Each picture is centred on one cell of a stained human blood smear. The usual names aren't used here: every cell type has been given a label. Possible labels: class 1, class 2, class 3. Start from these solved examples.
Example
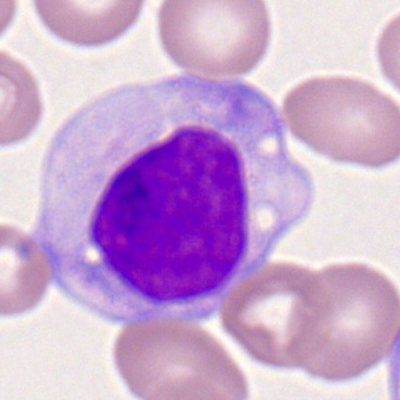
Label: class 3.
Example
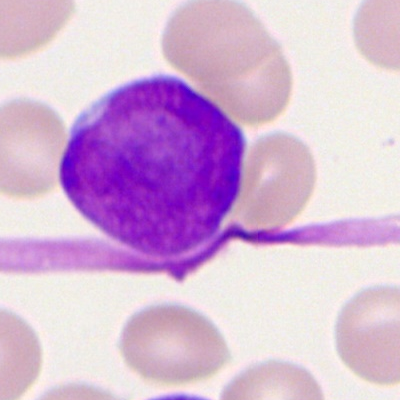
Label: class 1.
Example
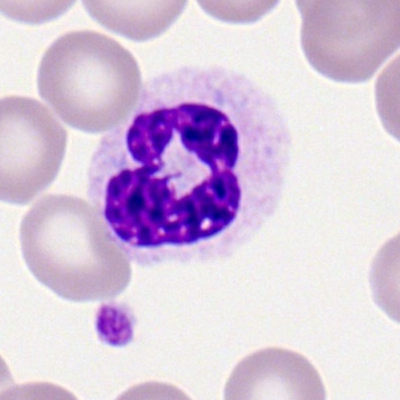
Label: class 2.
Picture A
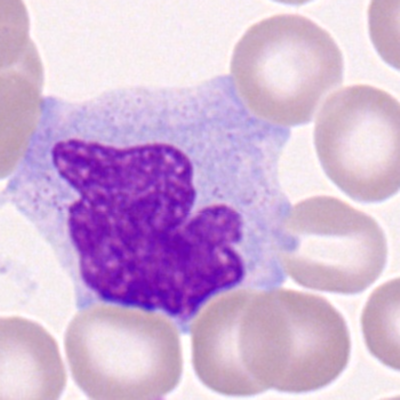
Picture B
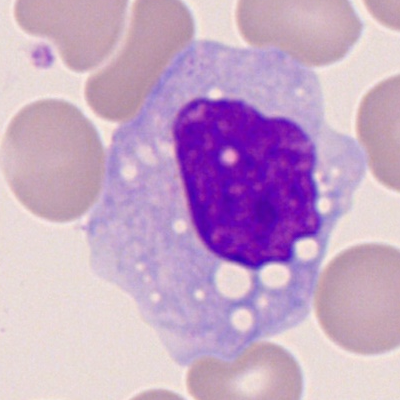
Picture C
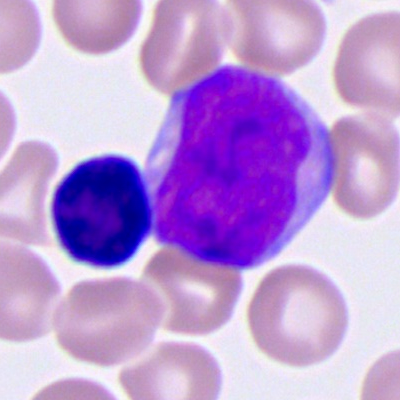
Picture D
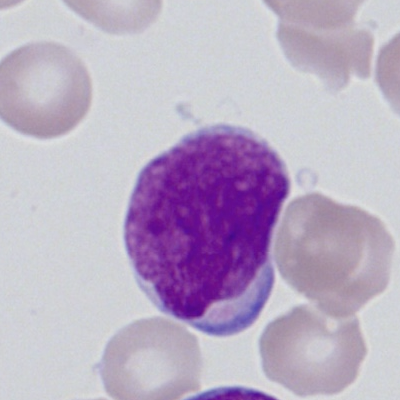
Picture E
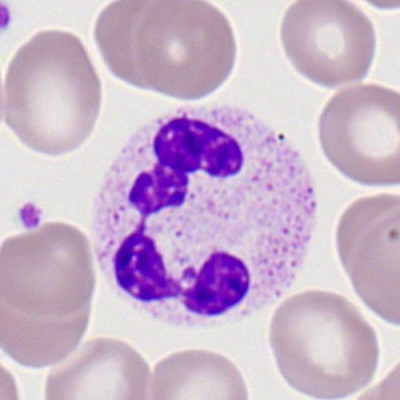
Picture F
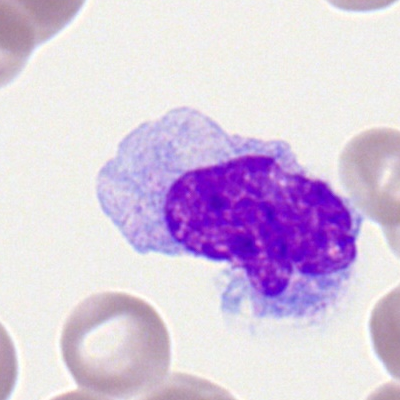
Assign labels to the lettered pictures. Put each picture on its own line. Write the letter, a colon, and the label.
A: class 3.
B: class 3.
C: class 1.
D: class 1.
E: class 2.
F: class 3.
